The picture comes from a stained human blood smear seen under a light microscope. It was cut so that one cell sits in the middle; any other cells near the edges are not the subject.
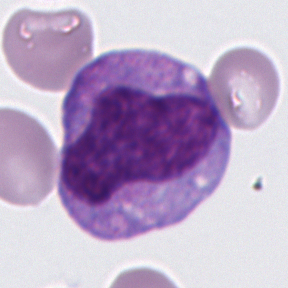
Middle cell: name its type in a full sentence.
Where the crop is centred, there is an atypical promyelocyte.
